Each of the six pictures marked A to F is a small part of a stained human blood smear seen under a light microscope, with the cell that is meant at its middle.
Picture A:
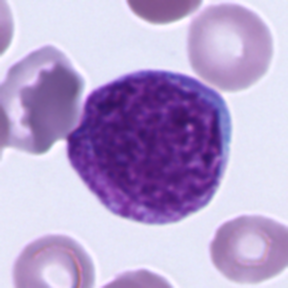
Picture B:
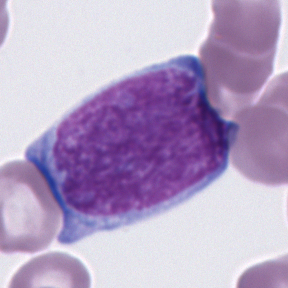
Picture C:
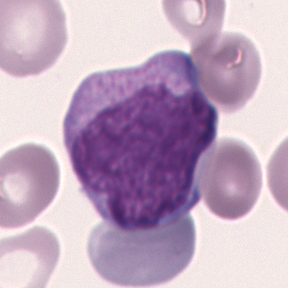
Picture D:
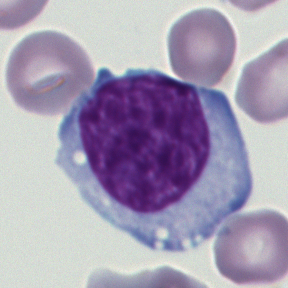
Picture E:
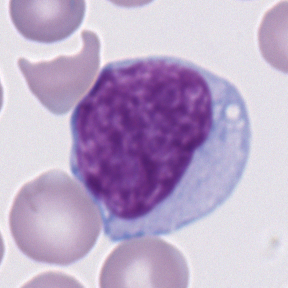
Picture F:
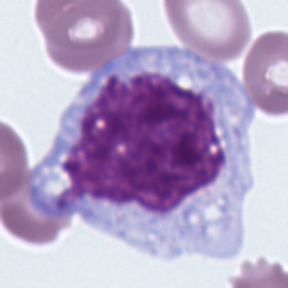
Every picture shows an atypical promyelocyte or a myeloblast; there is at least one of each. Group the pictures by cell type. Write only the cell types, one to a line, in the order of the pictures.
atypical promyelocyte
myeloblast
atypical promyelocyte
myeloblast
myeloblast
myeloblast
